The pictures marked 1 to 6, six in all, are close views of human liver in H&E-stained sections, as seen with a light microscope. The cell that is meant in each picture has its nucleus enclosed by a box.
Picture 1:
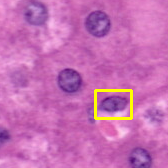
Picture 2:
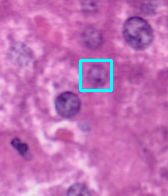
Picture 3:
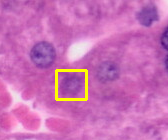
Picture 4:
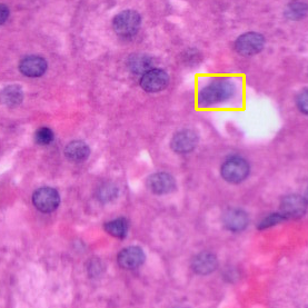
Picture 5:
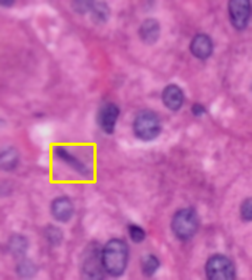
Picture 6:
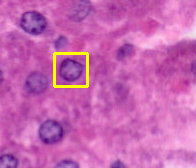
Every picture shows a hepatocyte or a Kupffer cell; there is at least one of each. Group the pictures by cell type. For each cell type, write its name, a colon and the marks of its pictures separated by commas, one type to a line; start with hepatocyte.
hepatocyte: 2, 3, 6
Kupffer cell: 1, 4, 5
